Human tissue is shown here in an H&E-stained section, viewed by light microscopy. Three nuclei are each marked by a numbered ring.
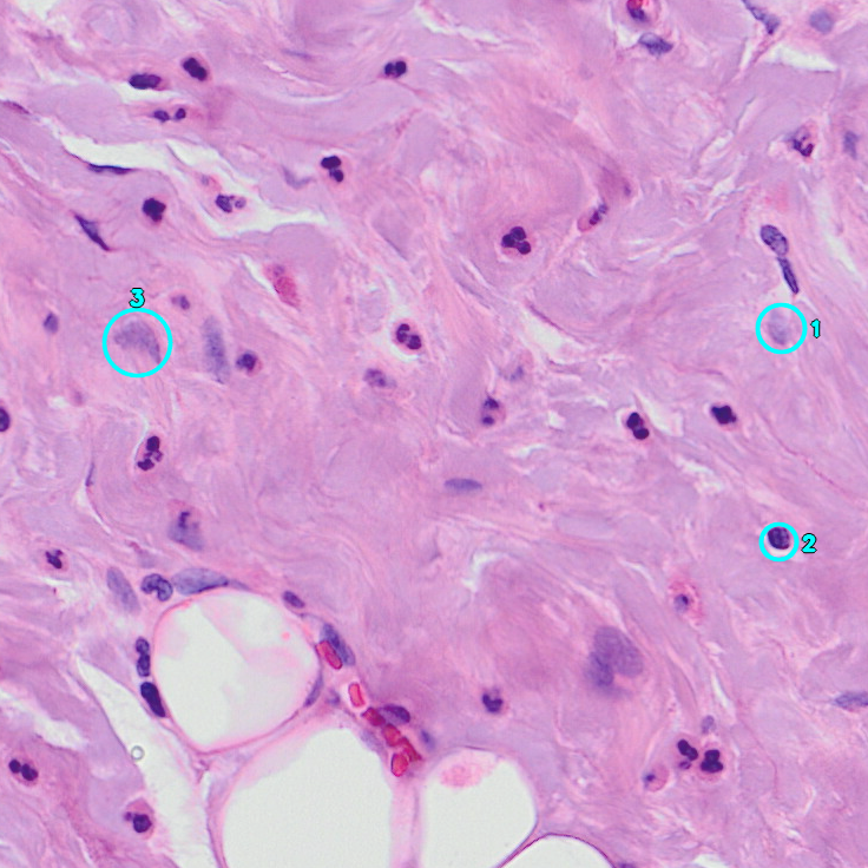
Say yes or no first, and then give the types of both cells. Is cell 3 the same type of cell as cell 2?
No, cell 3 is a fibroblast whereas cell 2 is a lymphocyte.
